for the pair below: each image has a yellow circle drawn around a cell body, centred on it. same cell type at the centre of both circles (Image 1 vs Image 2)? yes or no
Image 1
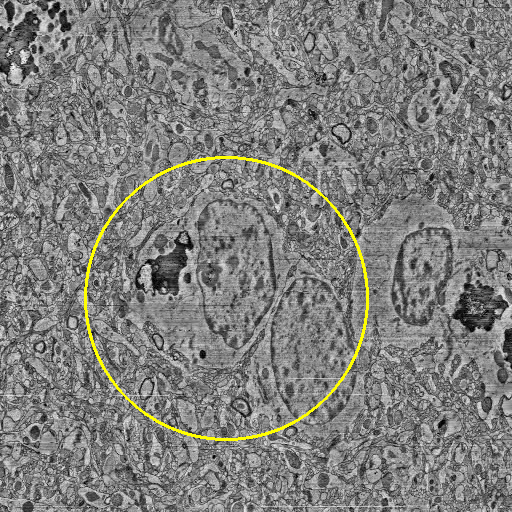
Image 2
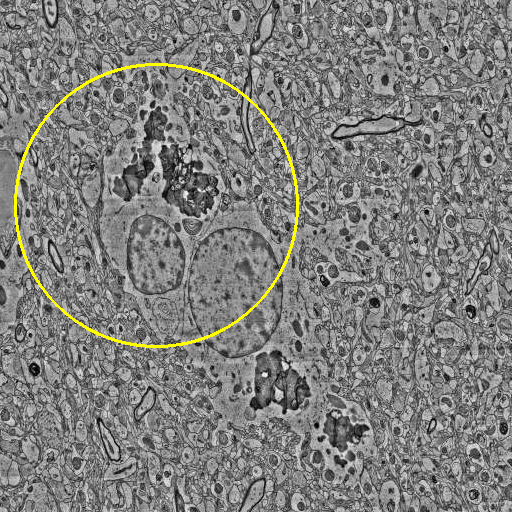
yes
